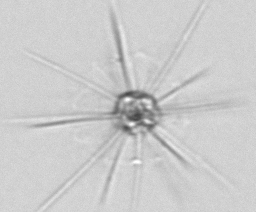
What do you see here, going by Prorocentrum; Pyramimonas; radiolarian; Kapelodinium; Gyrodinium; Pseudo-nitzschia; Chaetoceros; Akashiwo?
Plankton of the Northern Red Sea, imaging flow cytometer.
I see a radiolarian.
